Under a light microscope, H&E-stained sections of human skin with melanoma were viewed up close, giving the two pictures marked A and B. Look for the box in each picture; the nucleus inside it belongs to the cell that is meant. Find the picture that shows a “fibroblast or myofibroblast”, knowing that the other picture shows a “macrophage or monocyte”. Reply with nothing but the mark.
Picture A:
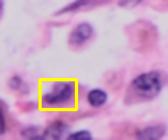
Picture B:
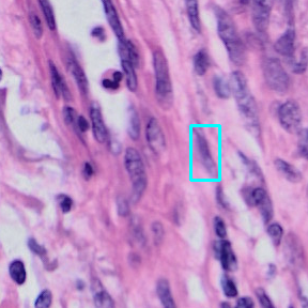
B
